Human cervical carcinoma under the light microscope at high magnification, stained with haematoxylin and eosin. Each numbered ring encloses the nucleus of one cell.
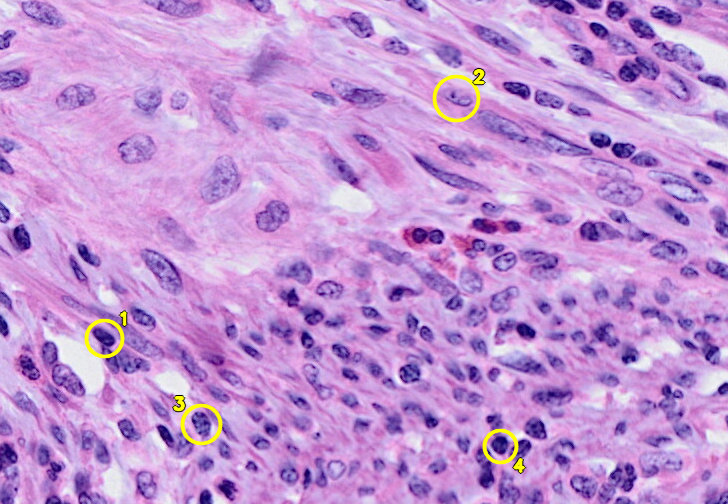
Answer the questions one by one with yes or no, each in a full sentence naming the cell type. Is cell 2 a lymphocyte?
No, it's not a lymphocyte at number 2; that cell is an endothelial cell.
